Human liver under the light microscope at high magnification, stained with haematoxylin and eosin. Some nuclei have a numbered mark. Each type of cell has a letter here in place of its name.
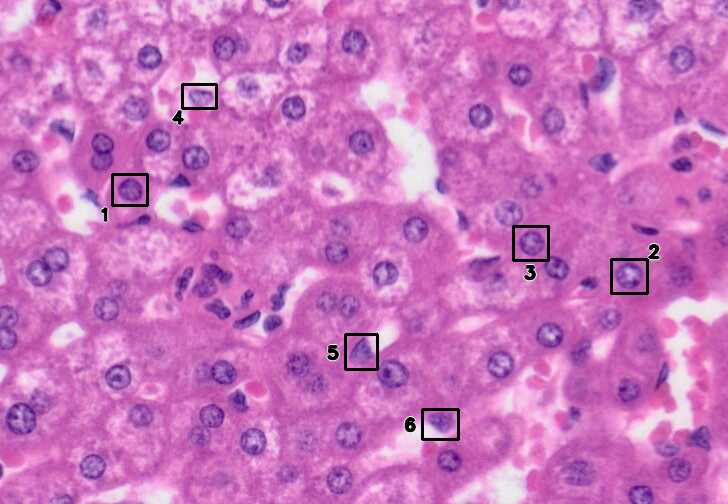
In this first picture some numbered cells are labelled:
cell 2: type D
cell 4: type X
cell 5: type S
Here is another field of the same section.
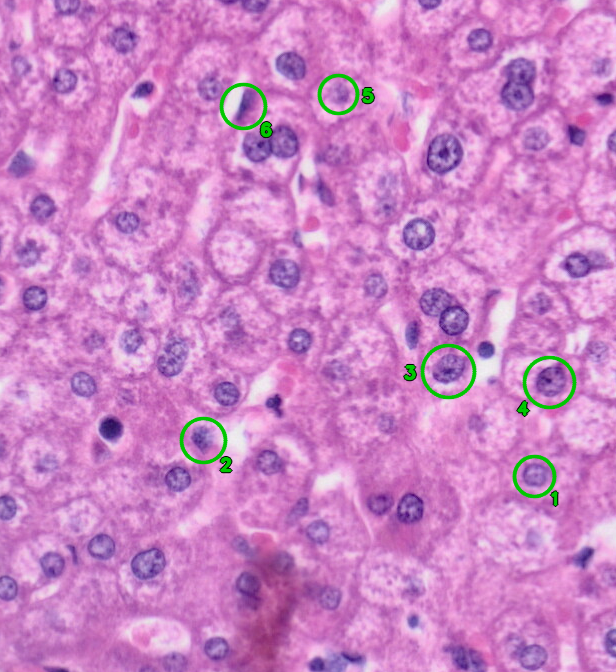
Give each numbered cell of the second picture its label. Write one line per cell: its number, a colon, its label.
1: type D
2: type S
3: type D
4: type D
5: type D
6: type X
